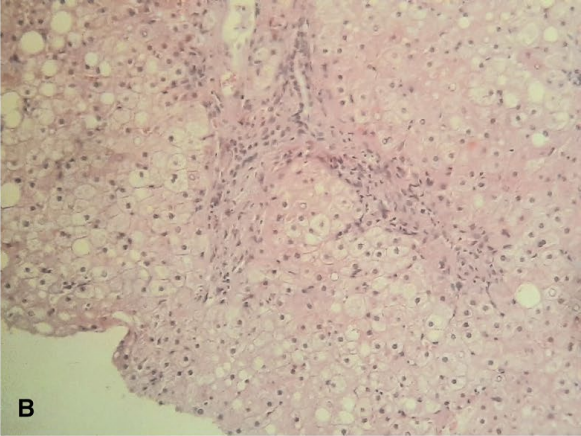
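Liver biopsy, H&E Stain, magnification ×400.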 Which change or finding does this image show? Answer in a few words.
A: Fibrosis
